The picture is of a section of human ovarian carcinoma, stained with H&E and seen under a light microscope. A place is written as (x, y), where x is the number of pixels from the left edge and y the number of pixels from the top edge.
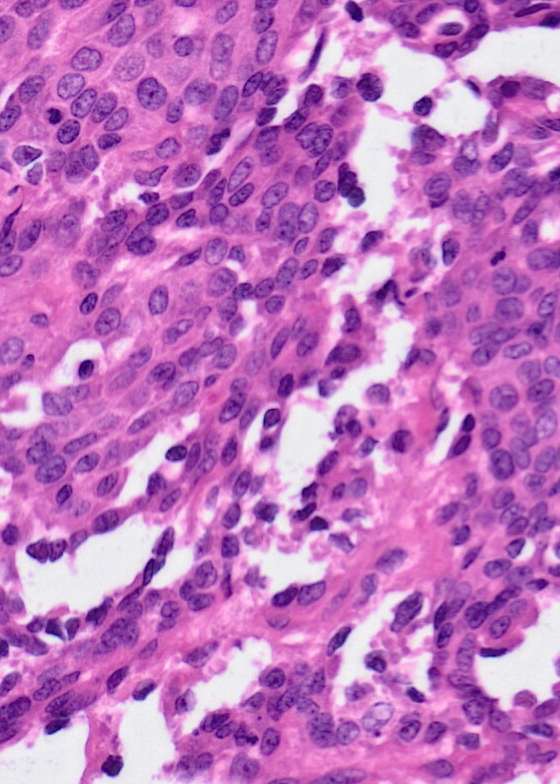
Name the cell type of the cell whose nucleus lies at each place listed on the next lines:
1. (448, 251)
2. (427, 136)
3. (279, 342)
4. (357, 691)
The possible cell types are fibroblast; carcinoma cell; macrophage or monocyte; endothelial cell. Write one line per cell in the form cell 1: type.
cell 1: macrophage or monocyte
cell 2: carcinoma cell
cell 3: carcinoma cell
cell 4: macrophage or monocyte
